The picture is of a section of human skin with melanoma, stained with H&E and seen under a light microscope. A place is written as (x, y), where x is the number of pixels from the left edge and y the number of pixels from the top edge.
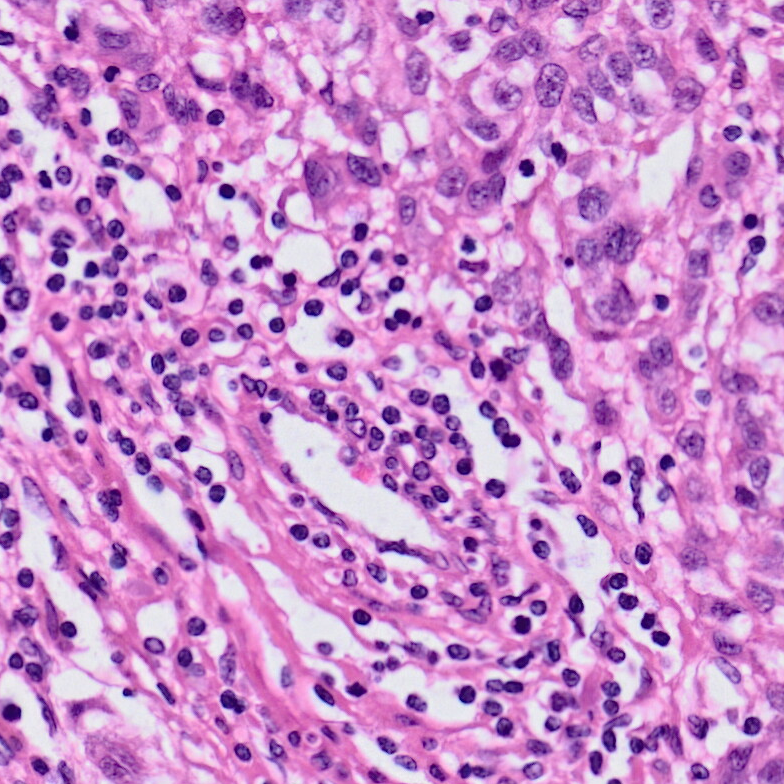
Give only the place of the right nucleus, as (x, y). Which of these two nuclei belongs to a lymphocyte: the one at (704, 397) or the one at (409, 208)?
(704, 397)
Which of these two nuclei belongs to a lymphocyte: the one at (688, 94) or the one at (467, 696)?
(467, 696)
